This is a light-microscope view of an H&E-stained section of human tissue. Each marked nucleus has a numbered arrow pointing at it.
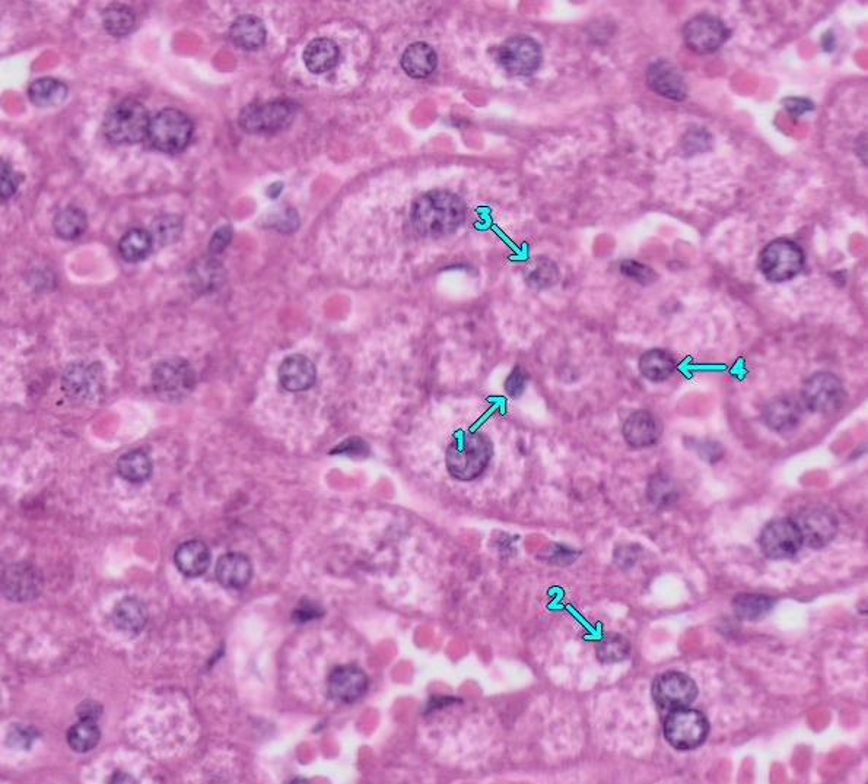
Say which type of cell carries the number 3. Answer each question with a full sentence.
To a hepatocyte belongs the nucleus marked 3.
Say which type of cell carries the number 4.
In this section, number 4 marks a hepatocyte.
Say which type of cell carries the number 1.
The marked cell with the number 1 is recognised as a lymphocyte.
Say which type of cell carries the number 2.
Cell 2 in the field is a hepatocyte.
